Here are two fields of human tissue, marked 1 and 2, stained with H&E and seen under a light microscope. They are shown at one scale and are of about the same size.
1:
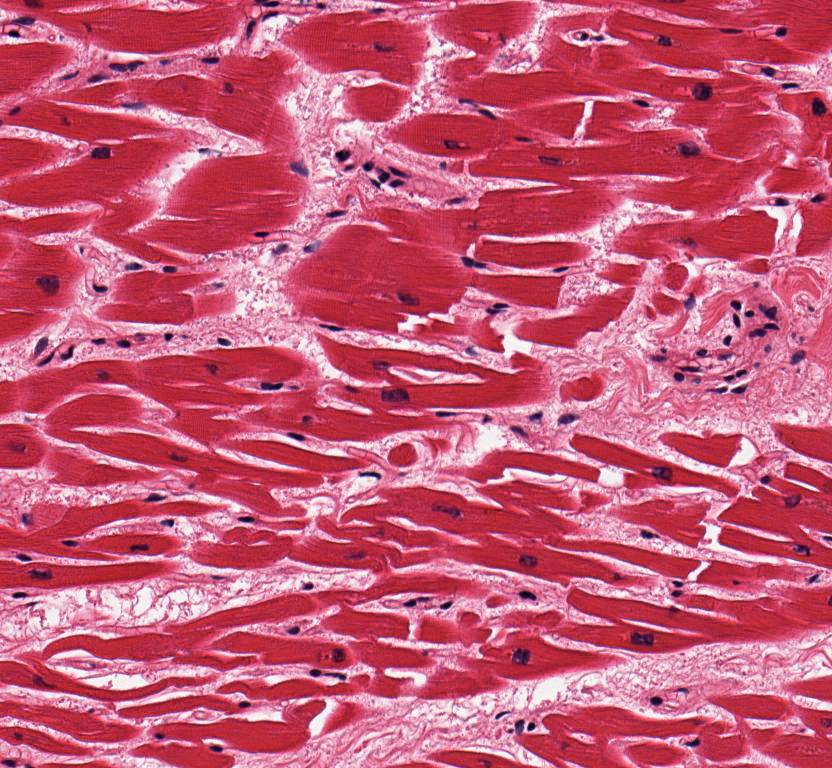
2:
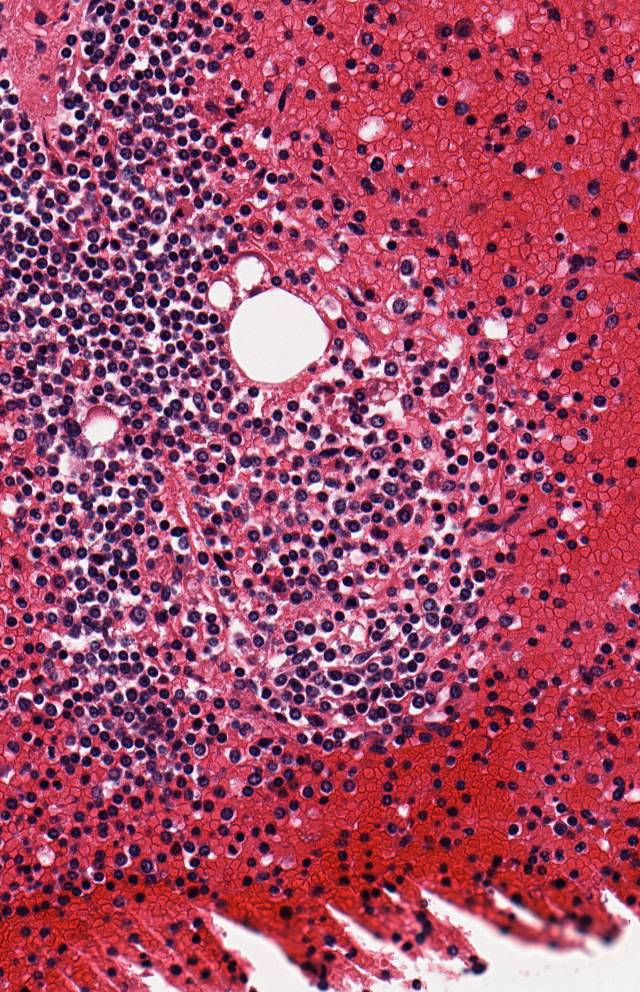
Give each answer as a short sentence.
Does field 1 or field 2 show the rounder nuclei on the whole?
It is field 2 whose nuclei are the rounder.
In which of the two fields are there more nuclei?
There are more nuclei in field 2.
